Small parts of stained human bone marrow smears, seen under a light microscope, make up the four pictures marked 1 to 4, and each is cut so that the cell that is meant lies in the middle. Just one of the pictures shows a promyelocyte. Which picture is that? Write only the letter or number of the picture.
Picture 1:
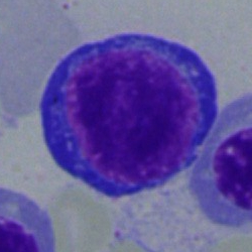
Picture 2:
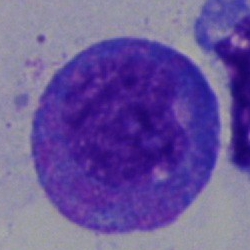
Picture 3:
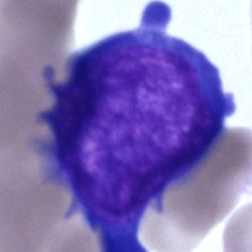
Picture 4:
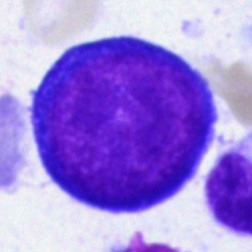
2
